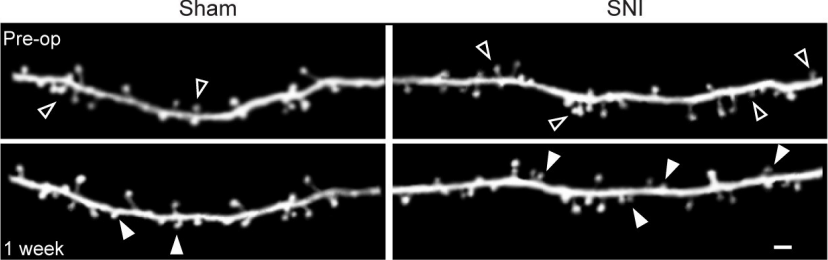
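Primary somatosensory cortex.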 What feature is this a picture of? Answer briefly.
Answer: Dendritic segment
